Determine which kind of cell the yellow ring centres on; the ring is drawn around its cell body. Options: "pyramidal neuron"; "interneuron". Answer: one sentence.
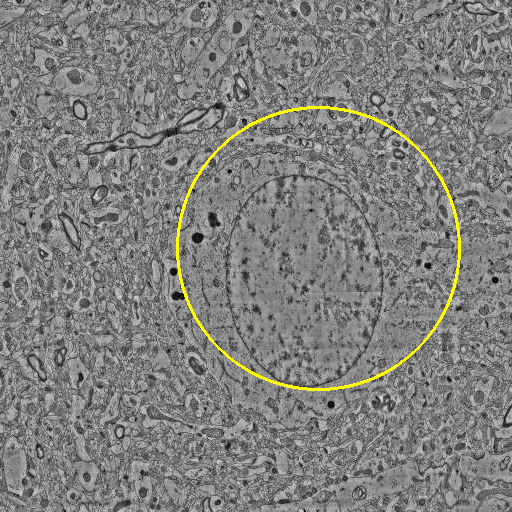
The ring centres on a pyramidal neuron.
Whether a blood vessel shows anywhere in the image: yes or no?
No, no vessel appears in the picture.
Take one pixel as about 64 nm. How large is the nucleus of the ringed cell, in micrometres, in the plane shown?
Approximately 14 by 10 micrometers in this plane.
